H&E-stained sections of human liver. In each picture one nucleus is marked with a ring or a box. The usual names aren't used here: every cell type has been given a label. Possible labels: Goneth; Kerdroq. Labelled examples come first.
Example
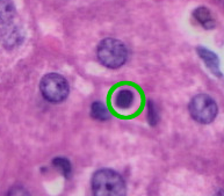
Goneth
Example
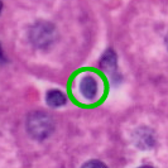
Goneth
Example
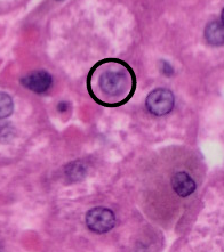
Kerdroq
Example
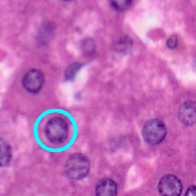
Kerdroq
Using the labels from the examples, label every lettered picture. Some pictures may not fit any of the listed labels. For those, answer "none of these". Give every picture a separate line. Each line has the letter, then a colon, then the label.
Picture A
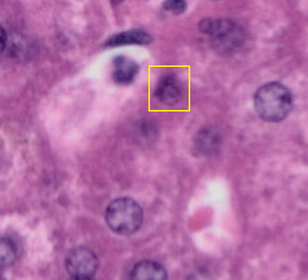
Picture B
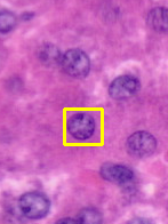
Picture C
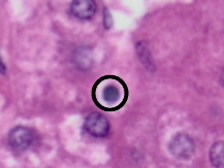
A: none of these
B: Kerdroq
C: Goneth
